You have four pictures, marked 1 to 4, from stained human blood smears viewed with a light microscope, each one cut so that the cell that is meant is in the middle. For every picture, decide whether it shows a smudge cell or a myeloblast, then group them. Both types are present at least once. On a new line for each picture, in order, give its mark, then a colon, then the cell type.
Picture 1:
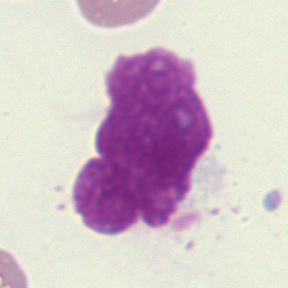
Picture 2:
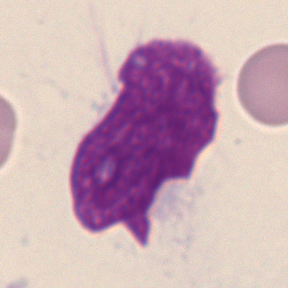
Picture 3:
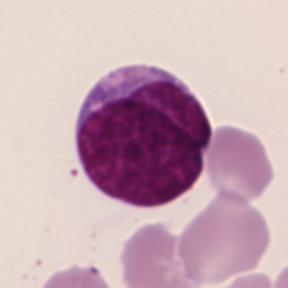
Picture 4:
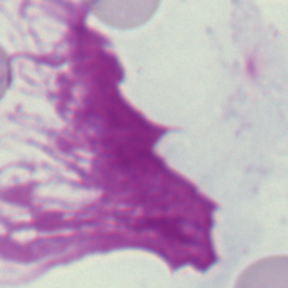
1: smudge cell
2: smudge cell
3: myeloblast
4: smudge cell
